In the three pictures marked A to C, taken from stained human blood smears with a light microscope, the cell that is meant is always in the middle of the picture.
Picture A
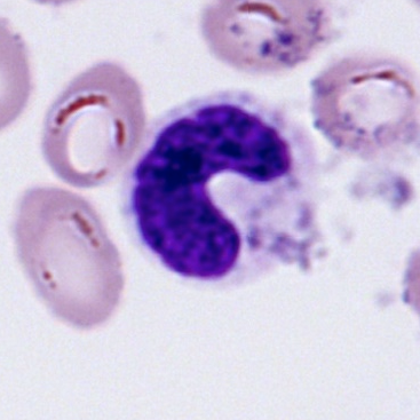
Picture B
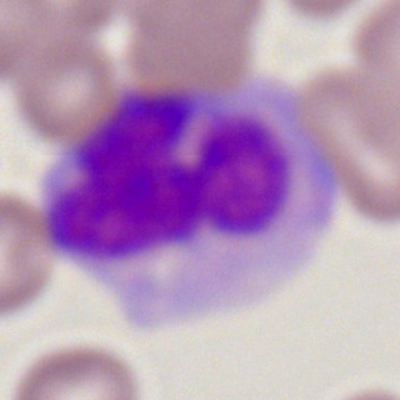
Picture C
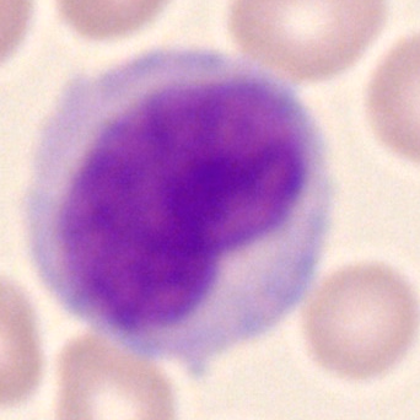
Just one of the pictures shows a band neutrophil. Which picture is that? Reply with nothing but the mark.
A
